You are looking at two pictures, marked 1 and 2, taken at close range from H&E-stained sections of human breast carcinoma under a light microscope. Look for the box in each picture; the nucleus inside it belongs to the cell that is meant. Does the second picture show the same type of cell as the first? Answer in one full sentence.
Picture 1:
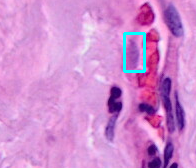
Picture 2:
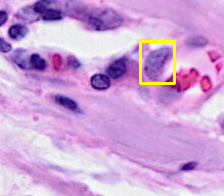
Yes; the cells in both pictures are endothelial cells.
